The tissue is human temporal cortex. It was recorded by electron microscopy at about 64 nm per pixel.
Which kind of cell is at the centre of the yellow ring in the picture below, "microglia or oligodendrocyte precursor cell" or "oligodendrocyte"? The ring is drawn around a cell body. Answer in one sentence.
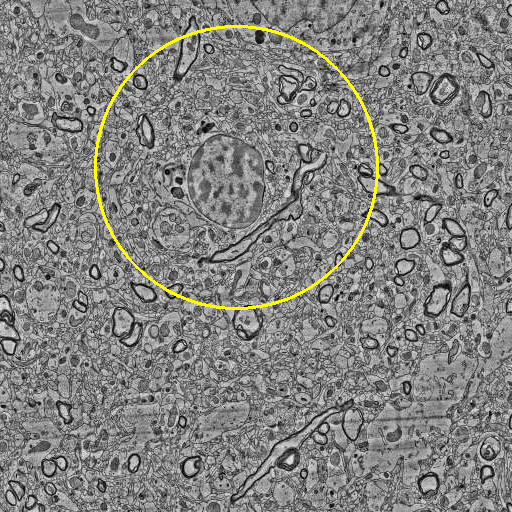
The ring's central cell is a microglial cell or oligodendrocyte precursor cell.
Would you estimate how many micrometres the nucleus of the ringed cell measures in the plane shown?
In this plane the nucleus measures roughly 6 by 5 micrometres.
